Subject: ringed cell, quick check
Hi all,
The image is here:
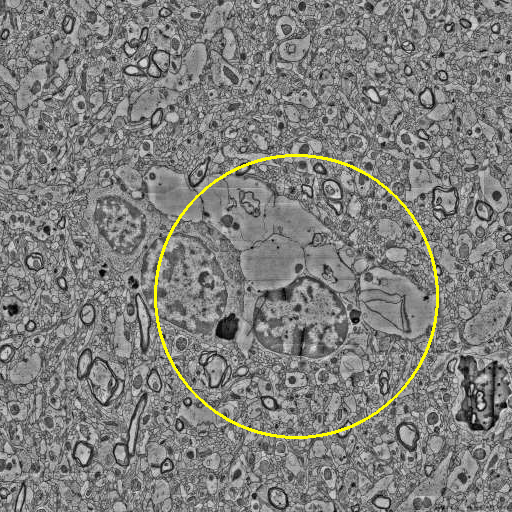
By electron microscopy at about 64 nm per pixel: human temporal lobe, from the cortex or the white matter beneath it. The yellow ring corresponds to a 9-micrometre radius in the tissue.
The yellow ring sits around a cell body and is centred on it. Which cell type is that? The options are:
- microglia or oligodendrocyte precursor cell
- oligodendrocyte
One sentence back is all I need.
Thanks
That ringed cell is a microglial cell or oligodendrocyte precursor cell.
